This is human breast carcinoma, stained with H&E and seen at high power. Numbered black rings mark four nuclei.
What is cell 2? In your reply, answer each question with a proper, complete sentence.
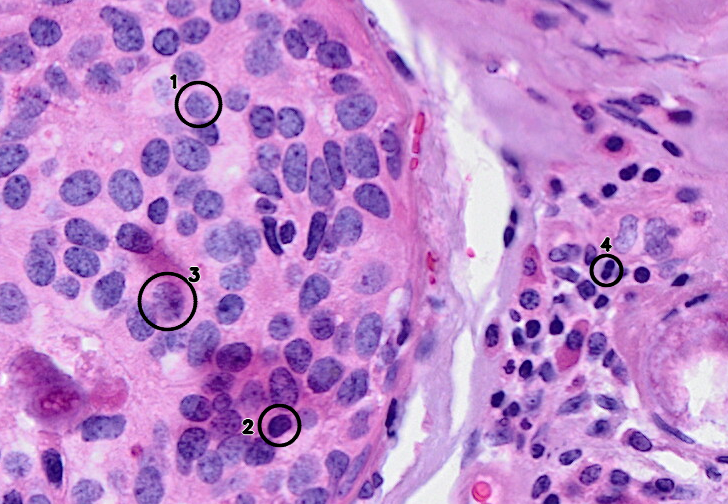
The cell marked with number 2 is a carcinoma cell.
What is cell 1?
The cell whose nucleus carries the number 1 is a carcinoma cell.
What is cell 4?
The cell marked with number 4 is a lymphocyte.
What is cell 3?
The cell pointed out by number 3 is a carcinoma cell.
